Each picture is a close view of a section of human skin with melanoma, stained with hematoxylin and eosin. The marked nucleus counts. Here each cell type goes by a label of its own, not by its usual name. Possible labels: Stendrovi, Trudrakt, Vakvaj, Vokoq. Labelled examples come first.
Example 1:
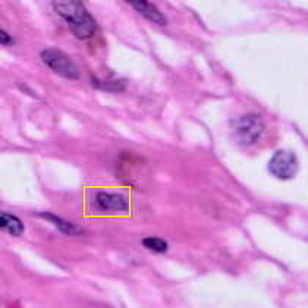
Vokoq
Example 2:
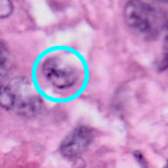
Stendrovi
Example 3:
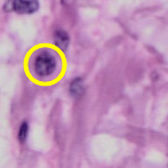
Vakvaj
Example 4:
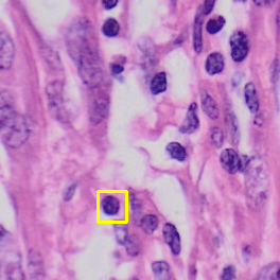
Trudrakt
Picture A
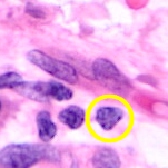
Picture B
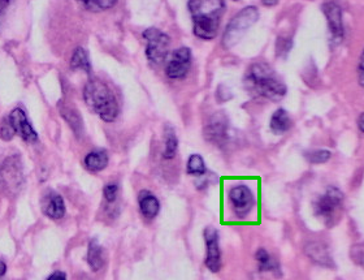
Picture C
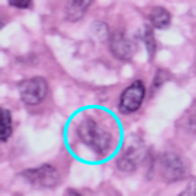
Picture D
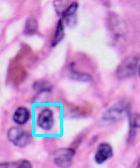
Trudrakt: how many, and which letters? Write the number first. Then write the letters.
2, namely A, D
